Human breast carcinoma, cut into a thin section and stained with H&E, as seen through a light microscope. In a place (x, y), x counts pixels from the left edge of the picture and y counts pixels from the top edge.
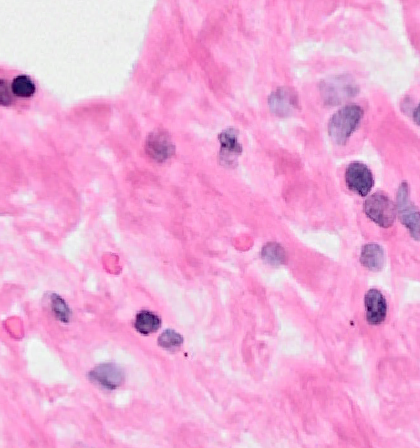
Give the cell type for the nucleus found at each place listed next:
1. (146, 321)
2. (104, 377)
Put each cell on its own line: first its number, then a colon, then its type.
1: lymphocyte
2: fibroblast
